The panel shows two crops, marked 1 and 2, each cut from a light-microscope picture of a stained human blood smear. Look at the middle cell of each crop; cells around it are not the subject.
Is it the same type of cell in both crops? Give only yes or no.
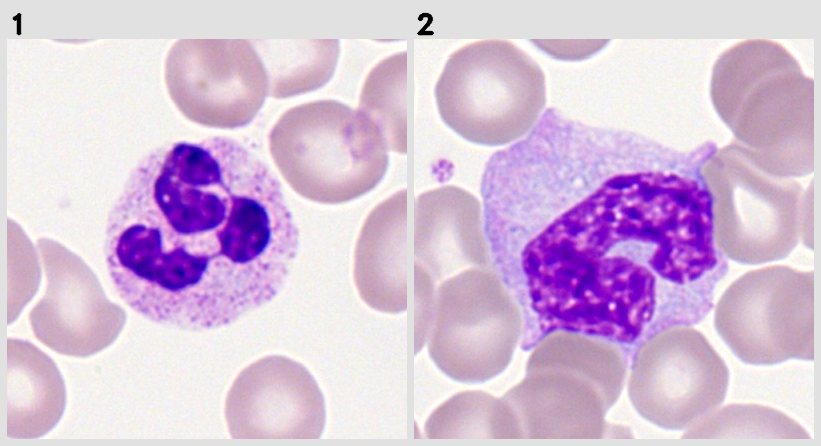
no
